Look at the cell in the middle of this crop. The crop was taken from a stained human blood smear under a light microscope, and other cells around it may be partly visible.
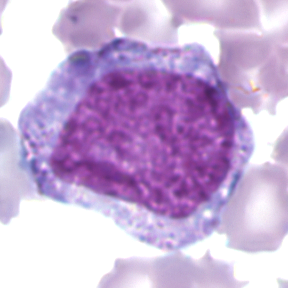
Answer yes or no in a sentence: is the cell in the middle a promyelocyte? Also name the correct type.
Yes, the cell lying in the centre of the crop is identified as a promyelocyte.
